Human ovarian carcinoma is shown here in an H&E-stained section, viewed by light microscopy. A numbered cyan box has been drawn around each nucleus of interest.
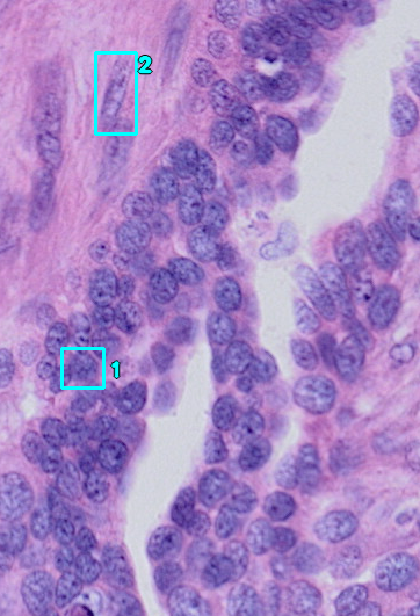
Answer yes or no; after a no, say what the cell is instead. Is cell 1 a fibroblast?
No, it is a carcinoma cell.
